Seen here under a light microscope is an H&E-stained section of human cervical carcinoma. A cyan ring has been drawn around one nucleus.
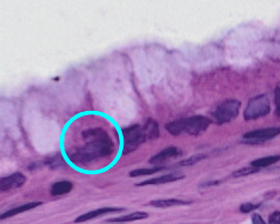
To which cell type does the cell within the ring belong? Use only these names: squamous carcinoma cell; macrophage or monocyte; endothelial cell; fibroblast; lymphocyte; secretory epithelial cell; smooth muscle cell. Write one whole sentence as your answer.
The cell within the ring appears to be a secretory epithelial cell.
